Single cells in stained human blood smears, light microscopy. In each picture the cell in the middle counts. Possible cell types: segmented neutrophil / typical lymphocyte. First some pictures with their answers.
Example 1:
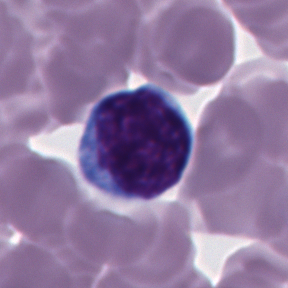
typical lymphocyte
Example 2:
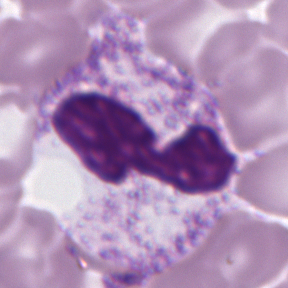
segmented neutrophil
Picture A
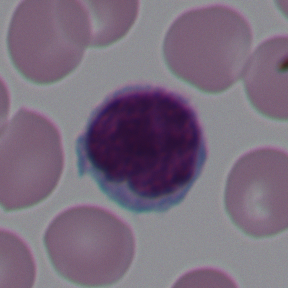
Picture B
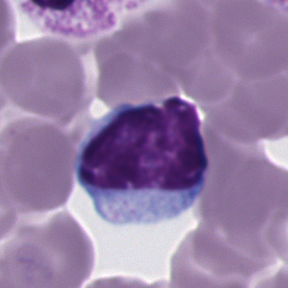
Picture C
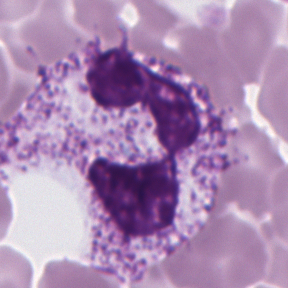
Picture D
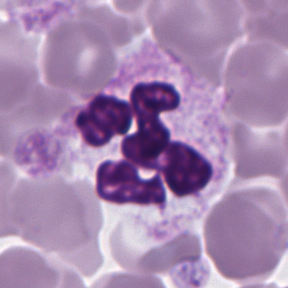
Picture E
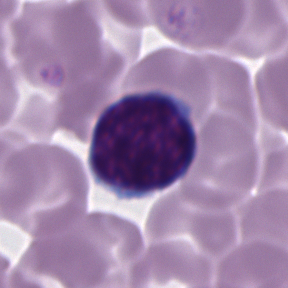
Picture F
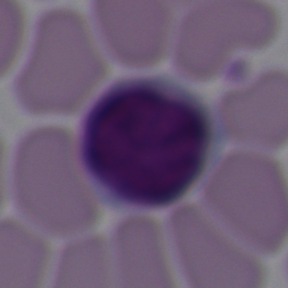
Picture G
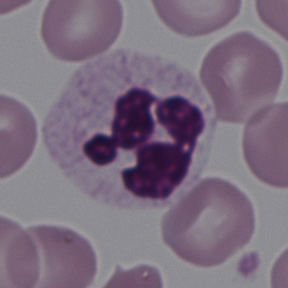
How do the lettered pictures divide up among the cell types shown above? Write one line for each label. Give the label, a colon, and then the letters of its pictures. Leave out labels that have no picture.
segmented neutrophil: C, D, G
typical lymphocyte: A, B, E, F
